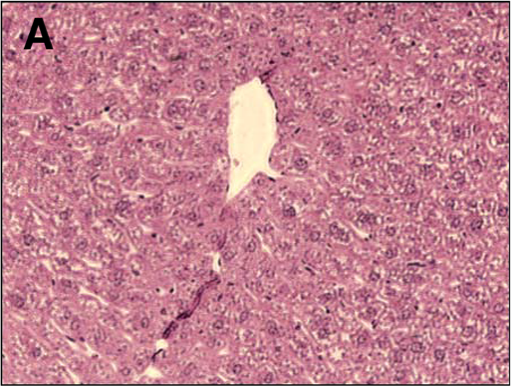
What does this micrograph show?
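A sheet of large polygonal cells with pink cytoplasm and round, centrally placed purple nuclei fills the field, arranged in cords separated by narrow pale channels. An open, thin-walled vessel lumen sits near the center, with a thin dark line of tissue trailing away from it. These are liver hepatocytes arranged in plates between sinusoids around a vein. Few small, dark, elongated nuclei are seen among the hepatocytes.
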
